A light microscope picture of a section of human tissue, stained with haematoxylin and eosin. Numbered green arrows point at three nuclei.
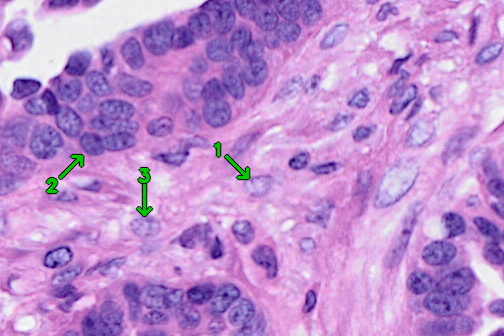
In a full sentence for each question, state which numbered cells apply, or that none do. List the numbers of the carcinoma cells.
Cell 2 is a carcinoma cell, and it is the only one.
